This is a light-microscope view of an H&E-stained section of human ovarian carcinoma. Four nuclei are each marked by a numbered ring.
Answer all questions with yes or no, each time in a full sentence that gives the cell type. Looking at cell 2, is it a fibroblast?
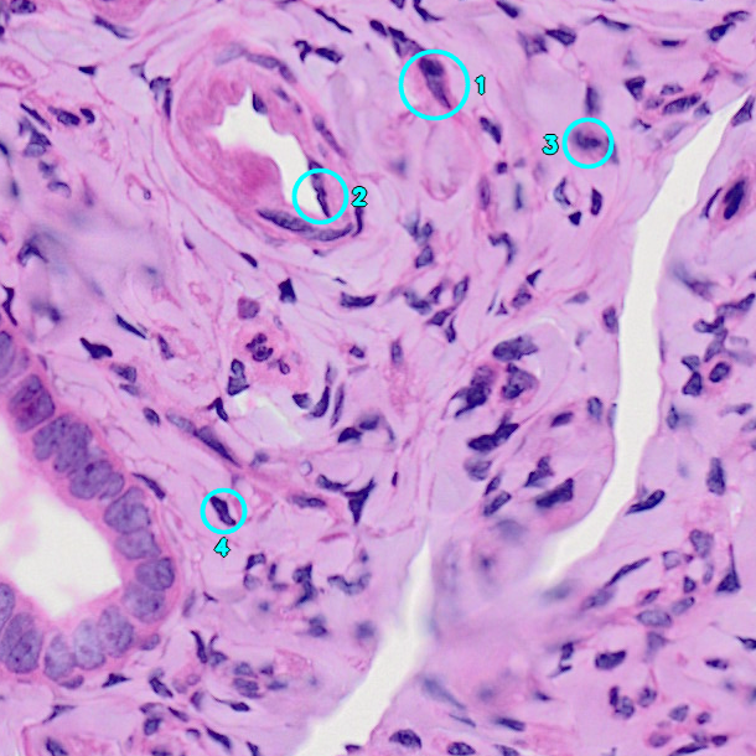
No, an endothelial cell, not a fibroblast, is the cell with number 2.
